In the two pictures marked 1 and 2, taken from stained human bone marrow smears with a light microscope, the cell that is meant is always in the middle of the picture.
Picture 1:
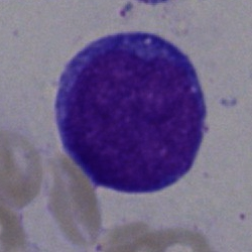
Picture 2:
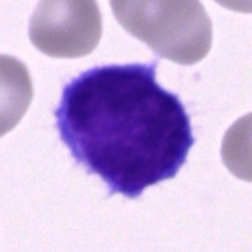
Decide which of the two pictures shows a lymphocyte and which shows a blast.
1: blast
2: lymphocyte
